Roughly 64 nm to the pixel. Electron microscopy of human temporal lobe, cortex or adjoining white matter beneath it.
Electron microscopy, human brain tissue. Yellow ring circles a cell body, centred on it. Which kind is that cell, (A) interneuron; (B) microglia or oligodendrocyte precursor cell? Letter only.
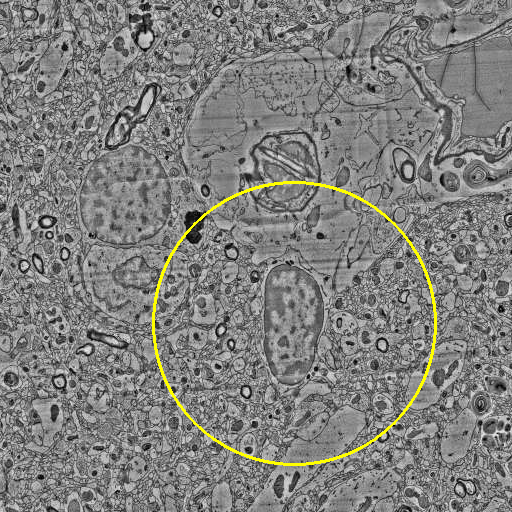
B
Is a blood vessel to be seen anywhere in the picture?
Yes, the picture includes a blood vessel.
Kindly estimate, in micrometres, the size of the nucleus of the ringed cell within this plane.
In this plane the nucleus is clearly longer than it is wide: roughly 8 by 4 micrometres.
